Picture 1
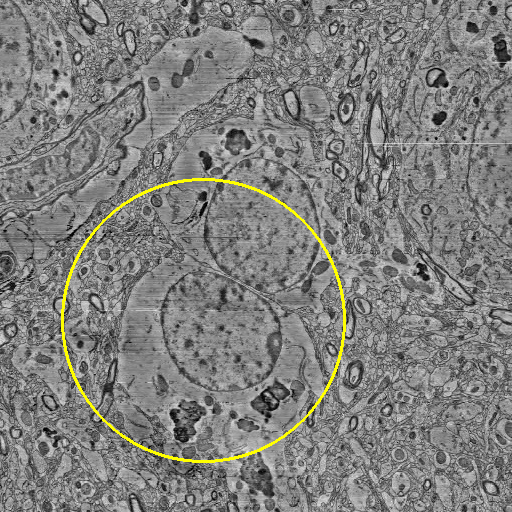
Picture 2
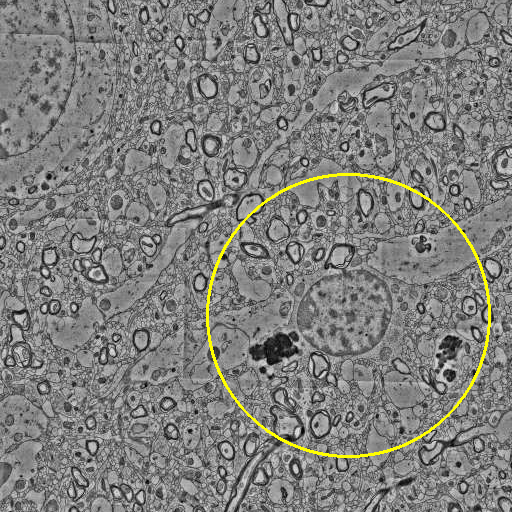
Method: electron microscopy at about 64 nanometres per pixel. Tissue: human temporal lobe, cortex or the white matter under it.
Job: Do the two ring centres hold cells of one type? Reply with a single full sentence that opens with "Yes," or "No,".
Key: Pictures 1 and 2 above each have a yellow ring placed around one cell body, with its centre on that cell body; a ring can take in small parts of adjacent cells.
No, the cells at the two ring centres are of two separate types.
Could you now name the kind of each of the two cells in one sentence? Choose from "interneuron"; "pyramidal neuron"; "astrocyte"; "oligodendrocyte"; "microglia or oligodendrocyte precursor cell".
The first ring encloses an astrocyte; the second ring encloses an oligodendrocyte.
